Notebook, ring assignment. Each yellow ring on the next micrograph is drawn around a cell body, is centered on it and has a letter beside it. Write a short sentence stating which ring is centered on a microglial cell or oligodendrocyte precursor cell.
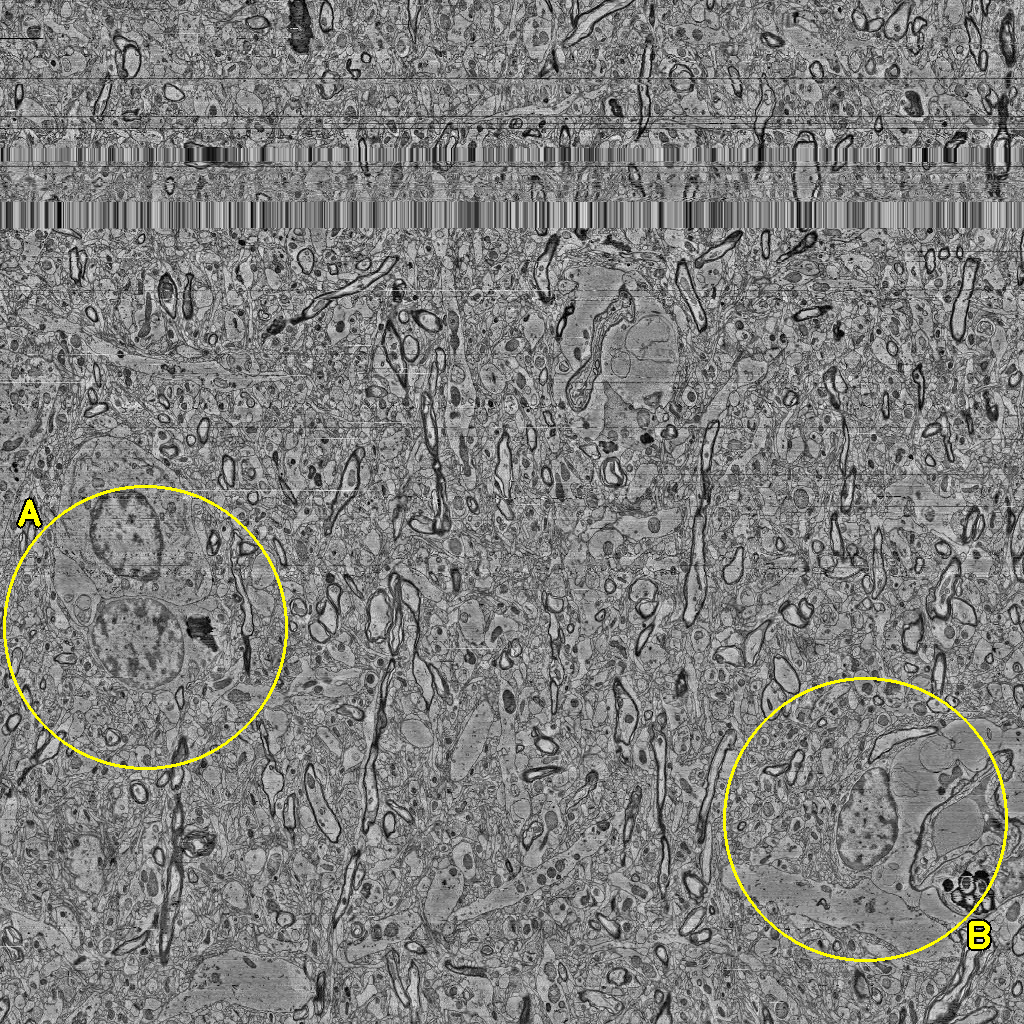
Ring B is centered on it.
